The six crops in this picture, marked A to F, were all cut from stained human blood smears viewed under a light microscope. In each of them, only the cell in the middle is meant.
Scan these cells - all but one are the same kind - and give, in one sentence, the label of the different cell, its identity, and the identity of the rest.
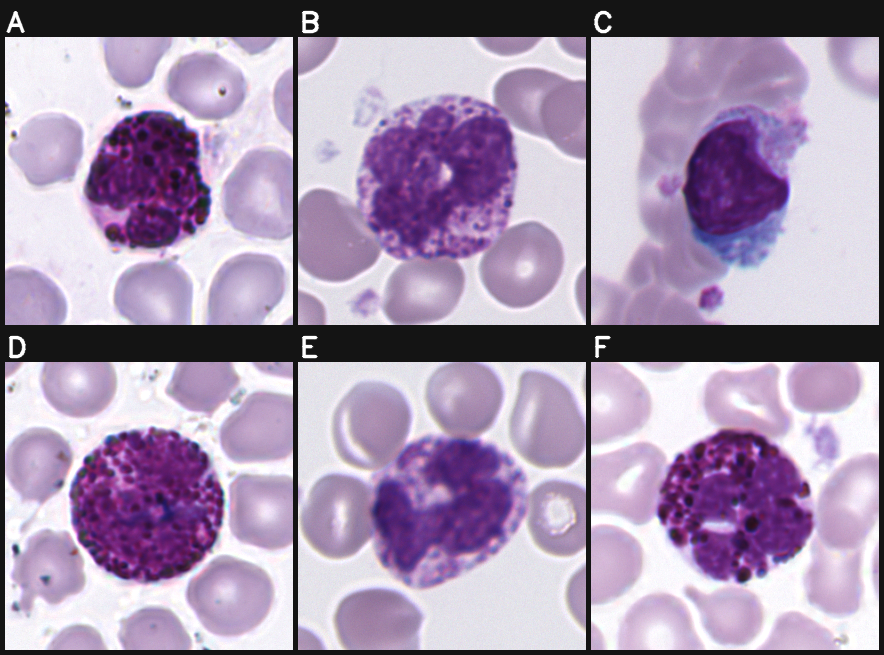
Crop C is the exception in this set, showing a lymphocyte while the others show basophils.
